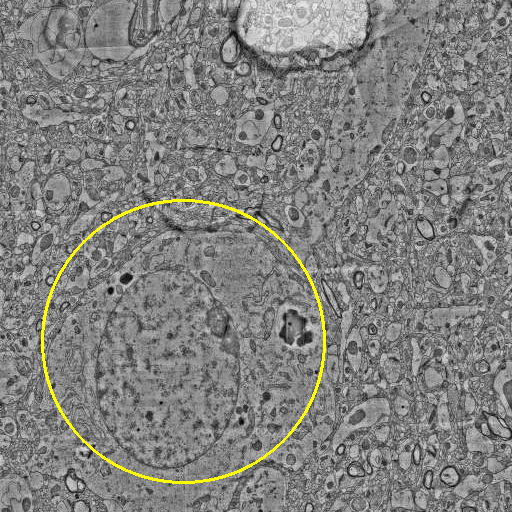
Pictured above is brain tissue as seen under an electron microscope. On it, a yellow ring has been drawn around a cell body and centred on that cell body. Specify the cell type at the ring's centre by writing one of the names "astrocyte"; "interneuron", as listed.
interneuron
